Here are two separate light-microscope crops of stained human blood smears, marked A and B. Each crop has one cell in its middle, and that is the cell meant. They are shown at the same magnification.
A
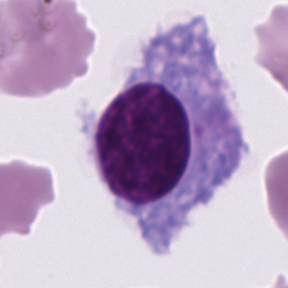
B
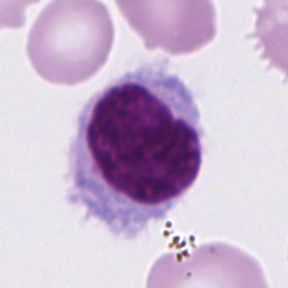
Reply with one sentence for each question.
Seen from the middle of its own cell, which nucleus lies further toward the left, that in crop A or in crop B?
Seen within its cell, the nucleus in crop A lies further toward the left.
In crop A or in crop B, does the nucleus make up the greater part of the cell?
It is the cell in crop B that is filled more by its nucleus.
